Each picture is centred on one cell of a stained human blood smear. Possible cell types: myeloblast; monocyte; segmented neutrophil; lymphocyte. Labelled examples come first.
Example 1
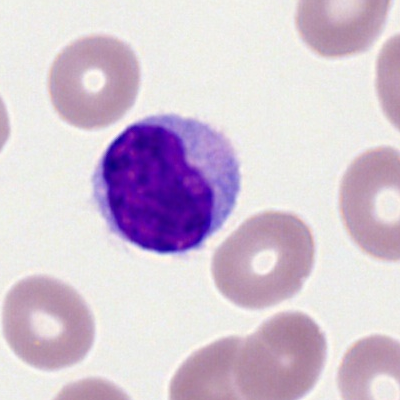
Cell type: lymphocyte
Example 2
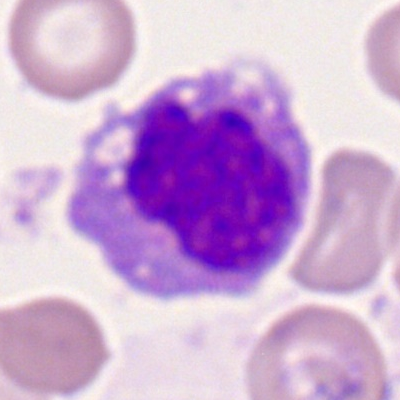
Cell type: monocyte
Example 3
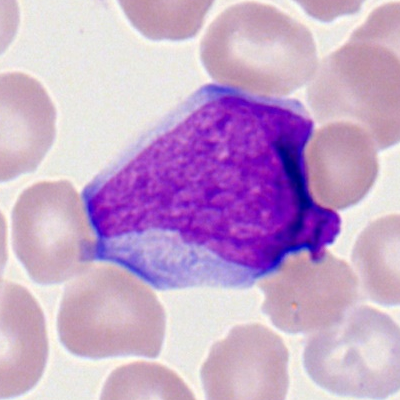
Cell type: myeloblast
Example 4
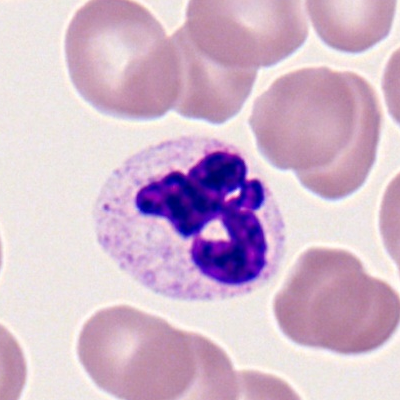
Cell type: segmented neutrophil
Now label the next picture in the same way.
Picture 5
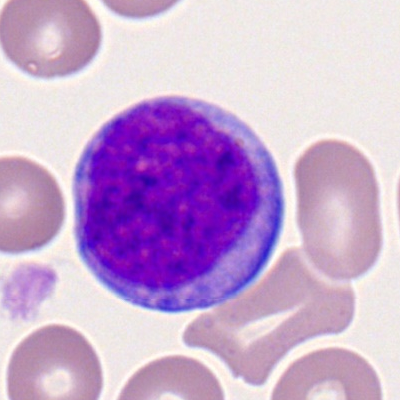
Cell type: myeloblast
